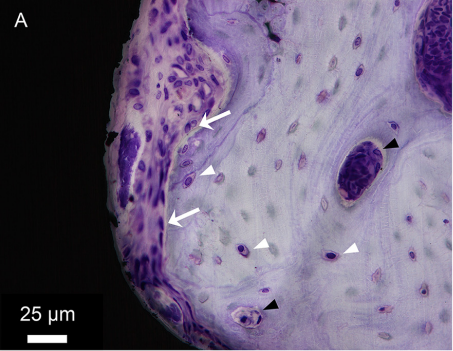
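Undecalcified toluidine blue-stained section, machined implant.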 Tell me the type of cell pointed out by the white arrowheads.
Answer: Osteocytes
